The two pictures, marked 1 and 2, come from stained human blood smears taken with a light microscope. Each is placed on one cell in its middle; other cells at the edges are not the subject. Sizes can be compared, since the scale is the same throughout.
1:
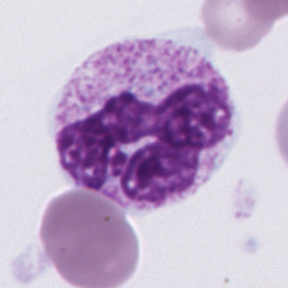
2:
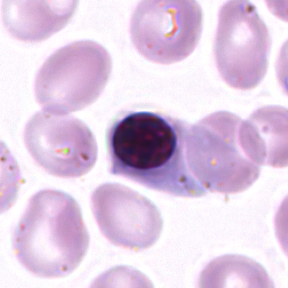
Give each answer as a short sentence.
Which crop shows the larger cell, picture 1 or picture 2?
Picture 1 holds the larger cell; it covers about 4 times the area of the cell in picture 2.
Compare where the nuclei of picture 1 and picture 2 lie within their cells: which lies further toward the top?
It is the nucleus in picture 2 that lies further toward the top of its cell.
